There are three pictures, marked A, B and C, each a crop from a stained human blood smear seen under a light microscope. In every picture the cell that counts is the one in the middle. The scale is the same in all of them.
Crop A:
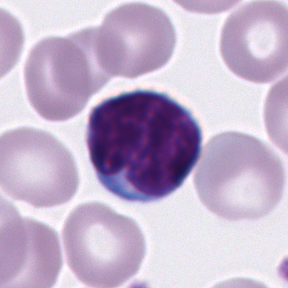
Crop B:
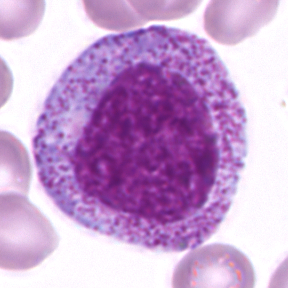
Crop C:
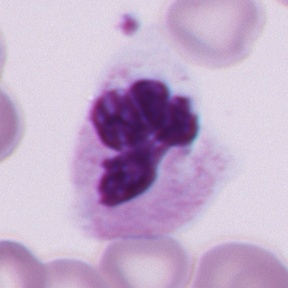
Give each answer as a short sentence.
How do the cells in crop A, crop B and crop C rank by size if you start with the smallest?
From the smallest up, the order is A, C, B.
